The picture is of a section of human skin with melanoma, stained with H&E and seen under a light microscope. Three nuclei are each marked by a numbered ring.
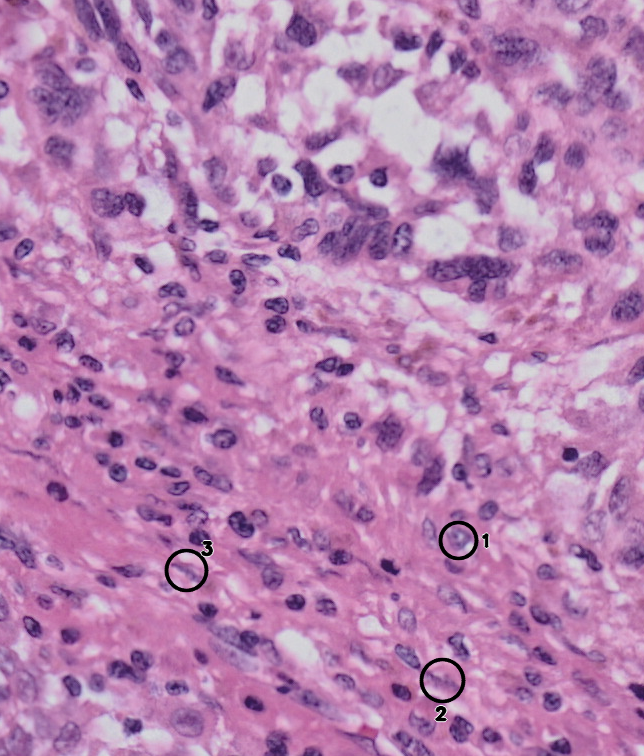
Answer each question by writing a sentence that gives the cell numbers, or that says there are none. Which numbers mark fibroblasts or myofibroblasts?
So, the cells with numbers 2 and 3 are fibroblasts or myofibroblasts.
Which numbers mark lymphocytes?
Across all the numbered cells, no lymphocytes are present.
